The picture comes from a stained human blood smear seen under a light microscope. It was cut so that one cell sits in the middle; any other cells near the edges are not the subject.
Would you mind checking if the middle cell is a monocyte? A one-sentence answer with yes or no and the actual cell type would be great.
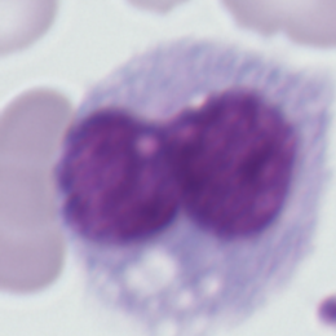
Yes, it is a monocyte that lies in the middle.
